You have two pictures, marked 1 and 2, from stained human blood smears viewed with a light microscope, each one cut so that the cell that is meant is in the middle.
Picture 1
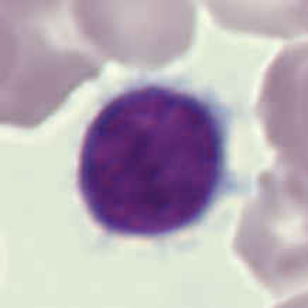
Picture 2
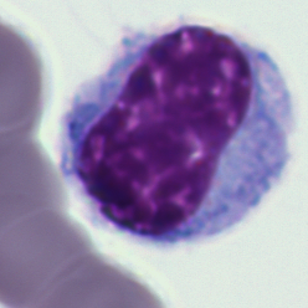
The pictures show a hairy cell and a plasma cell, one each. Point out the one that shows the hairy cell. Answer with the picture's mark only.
1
